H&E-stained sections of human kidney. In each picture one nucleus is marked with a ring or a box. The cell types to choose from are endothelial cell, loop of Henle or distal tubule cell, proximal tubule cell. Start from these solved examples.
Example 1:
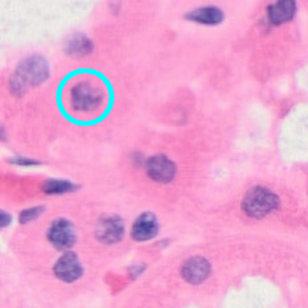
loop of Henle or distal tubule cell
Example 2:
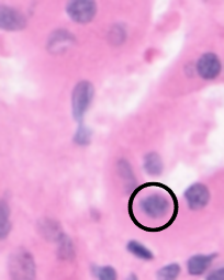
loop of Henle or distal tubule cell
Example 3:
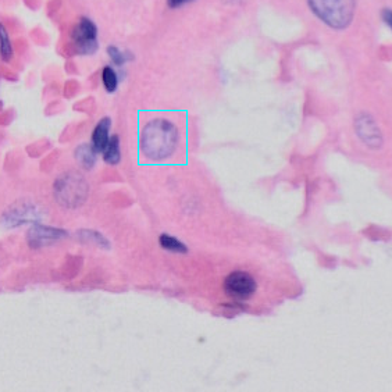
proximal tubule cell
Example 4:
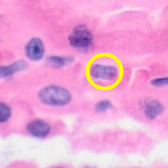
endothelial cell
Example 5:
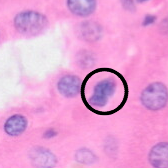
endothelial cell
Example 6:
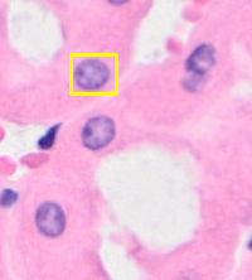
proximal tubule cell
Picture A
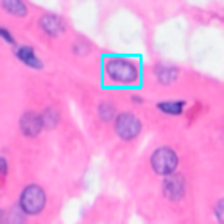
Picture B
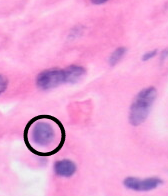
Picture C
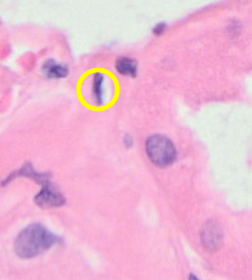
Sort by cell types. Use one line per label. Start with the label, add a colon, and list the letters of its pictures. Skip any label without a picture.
endothelial cell: C
loop of Henle or distal tubule cell: A, B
